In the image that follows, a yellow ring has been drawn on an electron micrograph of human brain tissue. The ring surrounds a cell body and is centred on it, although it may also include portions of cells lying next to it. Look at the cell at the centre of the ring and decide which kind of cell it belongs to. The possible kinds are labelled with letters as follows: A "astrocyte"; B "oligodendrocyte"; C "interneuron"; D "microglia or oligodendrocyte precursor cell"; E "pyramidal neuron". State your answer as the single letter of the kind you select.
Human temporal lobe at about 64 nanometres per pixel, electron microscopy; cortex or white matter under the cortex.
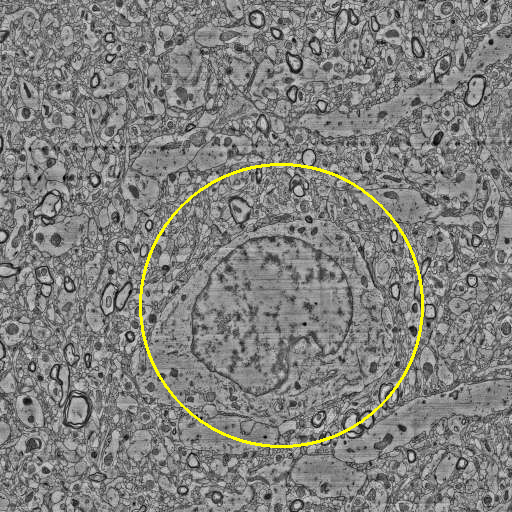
C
